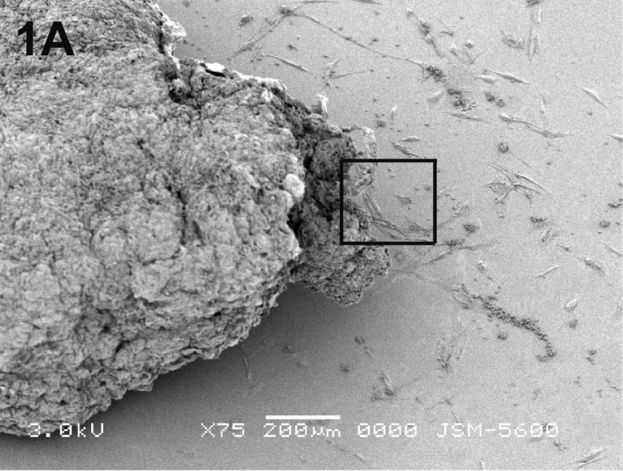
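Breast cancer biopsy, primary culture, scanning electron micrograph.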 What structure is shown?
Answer: Tissue fragment.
